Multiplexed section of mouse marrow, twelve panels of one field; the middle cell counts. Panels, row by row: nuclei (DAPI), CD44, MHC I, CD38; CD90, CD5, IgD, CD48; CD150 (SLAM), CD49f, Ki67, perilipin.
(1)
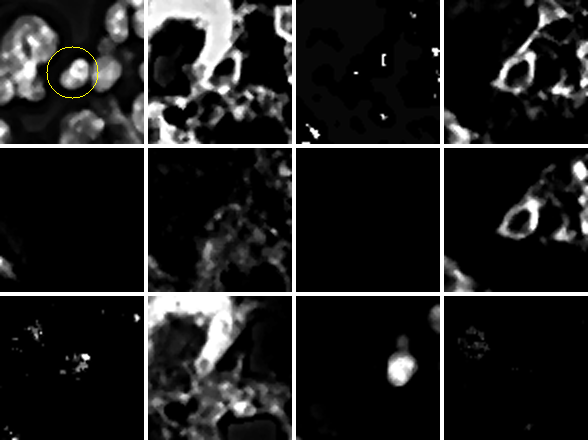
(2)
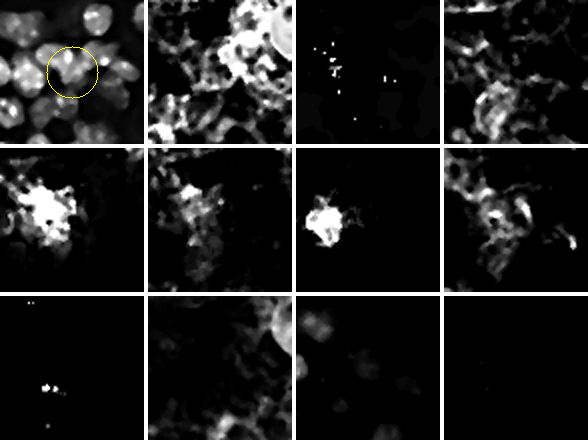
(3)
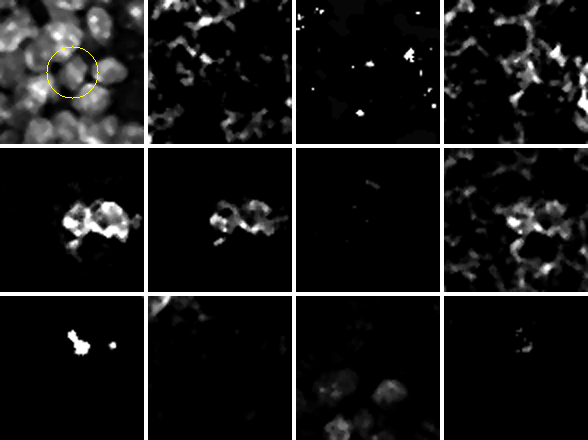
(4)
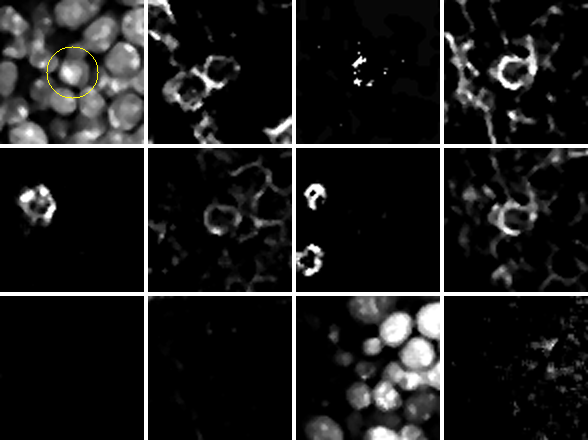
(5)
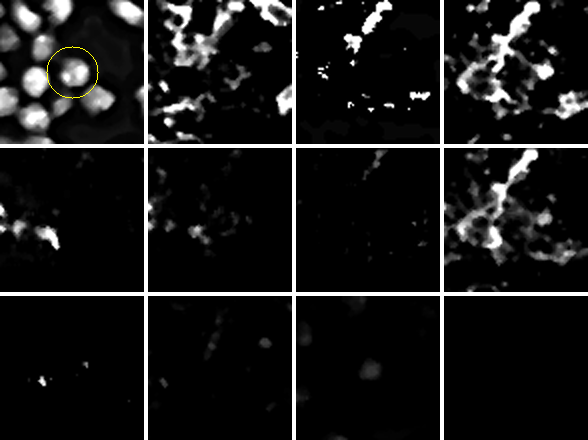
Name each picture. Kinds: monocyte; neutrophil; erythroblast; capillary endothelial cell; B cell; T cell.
(1) monocyte
(2) capillary endothelial cell
(3) T cell
(4) B cell
(5) monocyte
